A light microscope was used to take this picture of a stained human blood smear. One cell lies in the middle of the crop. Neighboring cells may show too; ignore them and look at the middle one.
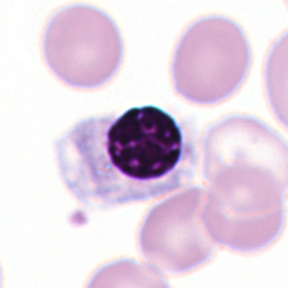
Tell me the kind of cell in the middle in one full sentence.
The cell found in the middle of this crop is a normoblast.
